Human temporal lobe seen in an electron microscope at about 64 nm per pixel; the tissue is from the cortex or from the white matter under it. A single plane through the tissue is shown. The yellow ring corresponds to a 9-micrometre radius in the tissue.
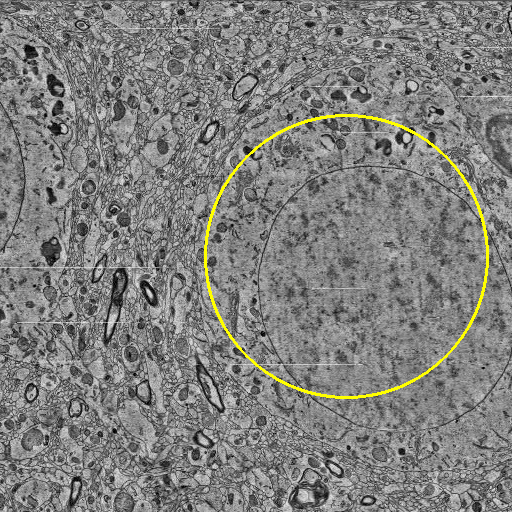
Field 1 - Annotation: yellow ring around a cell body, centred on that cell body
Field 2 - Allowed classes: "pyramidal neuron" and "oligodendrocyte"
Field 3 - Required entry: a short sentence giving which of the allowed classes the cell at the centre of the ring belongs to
The centred cell is a pyramidal neuron.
